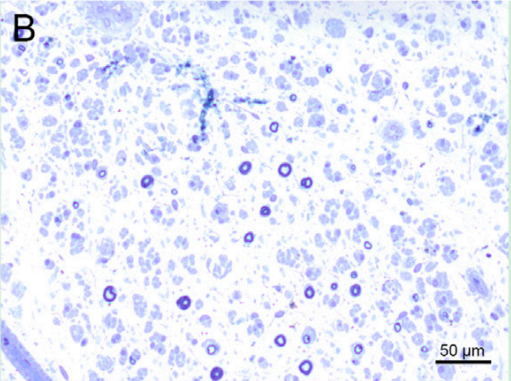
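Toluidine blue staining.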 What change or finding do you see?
Severe loss of myelinated axons.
